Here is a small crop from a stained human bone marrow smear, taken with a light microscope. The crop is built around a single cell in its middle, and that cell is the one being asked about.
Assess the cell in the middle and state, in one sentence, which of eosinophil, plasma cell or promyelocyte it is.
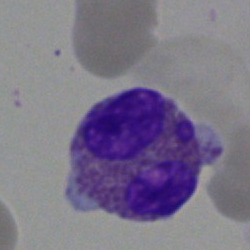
This particular crop is centered on an eosinophil.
